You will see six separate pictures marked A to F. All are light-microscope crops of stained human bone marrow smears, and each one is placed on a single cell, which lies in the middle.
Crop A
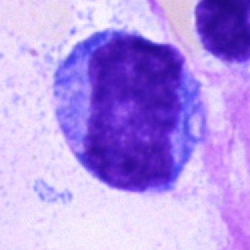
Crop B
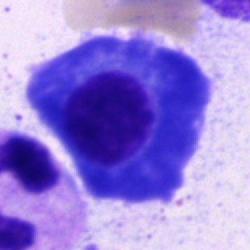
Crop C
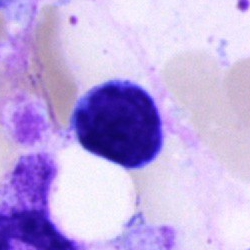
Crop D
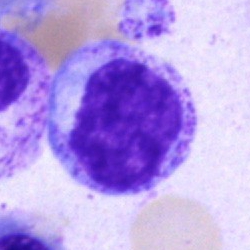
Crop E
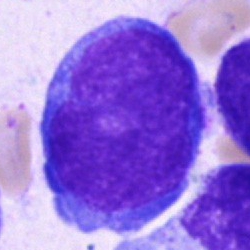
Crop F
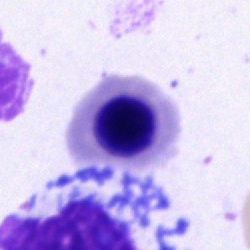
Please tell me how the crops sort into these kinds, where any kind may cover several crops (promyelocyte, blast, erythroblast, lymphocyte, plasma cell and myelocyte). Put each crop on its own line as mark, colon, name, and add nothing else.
A: blast
B: plasma cell
C: lymphocyte
D: myelocyte
E: blast
F: erythroblast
